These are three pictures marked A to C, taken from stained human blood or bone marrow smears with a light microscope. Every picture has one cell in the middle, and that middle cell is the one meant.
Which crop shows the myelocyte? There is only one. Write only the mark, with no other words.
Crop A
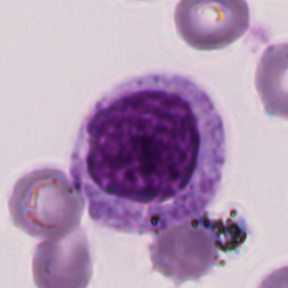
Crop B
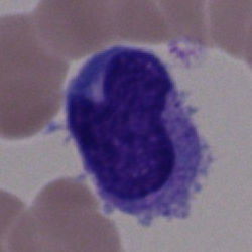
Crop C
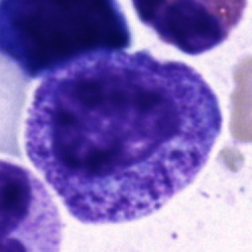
A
